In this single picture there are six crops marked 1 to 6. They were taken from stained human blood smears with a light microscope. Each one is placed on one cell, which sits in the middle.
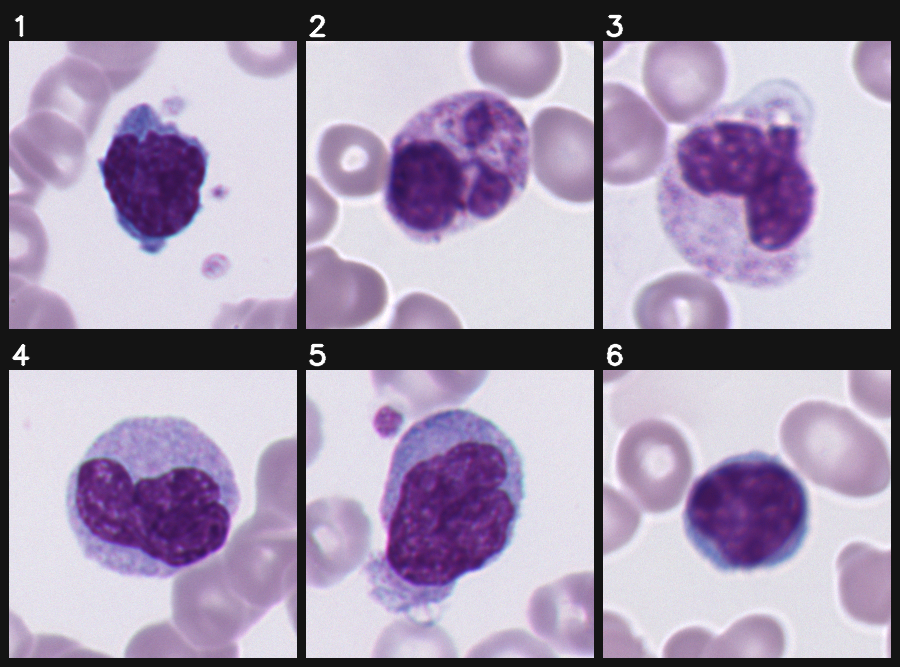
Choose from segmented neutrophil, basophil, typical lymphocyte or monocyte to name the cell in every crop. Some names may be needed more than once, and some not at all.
1: typical lymphocyte
2: basophil
3: segmented neutrophil
4: monocyte
5: monocyte
6: typical lymphocyte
